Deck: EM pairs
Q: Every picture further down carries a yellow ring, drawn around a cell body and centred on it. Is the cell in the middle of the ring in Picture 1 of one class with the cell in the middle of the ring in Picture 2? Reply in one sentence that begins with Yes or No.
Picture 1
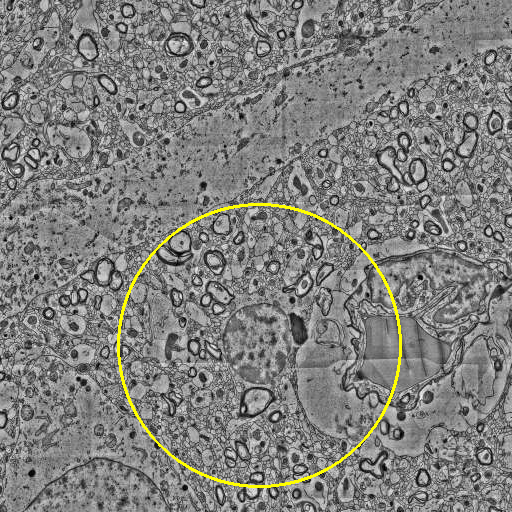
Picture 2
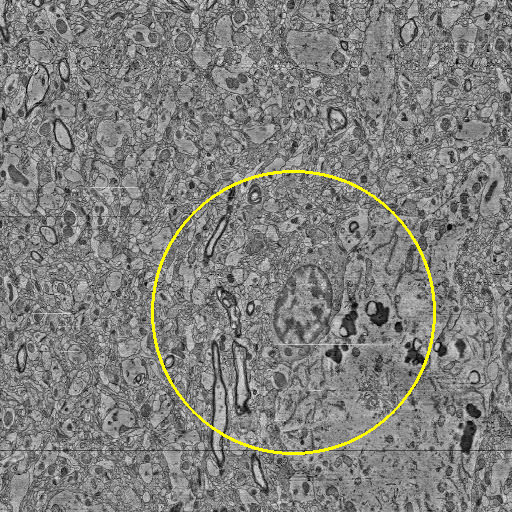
Yes, the cell centred in the ring of Picture 1 and the one in Picture 2 belong to one class.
